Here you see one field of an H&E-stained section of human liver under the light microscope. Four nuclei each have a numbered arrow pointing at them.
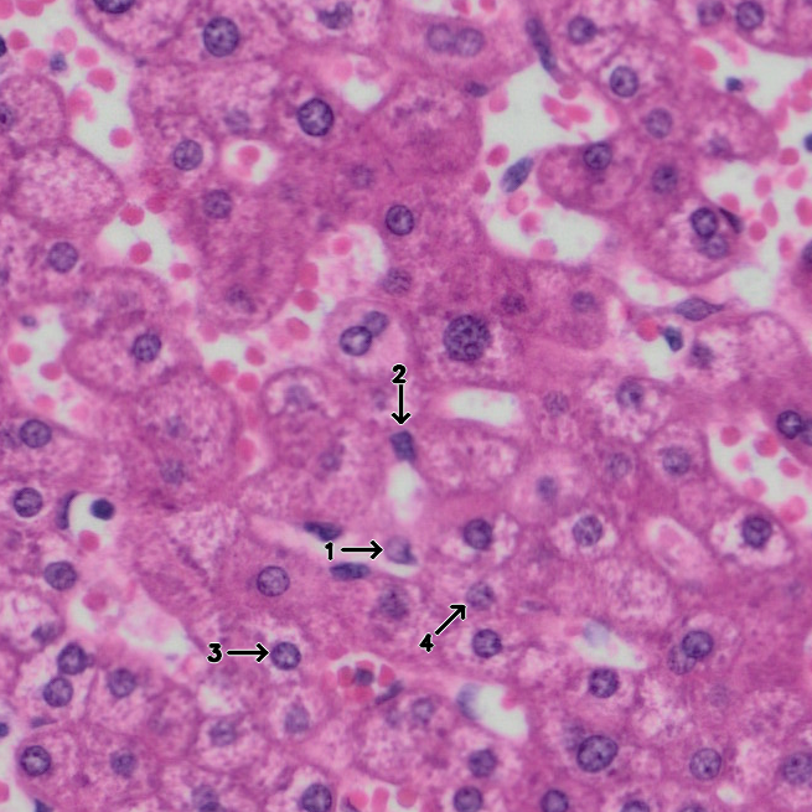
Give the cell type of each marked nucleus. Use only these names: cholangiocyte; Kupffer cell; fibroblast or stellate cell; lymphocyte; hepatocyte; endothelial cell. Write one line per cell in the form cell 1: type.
cell 1: Kupffer cell
cell 2: fibroblast or stellate cell
cell 3: hepatocyte
cell 4: hepatocyte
